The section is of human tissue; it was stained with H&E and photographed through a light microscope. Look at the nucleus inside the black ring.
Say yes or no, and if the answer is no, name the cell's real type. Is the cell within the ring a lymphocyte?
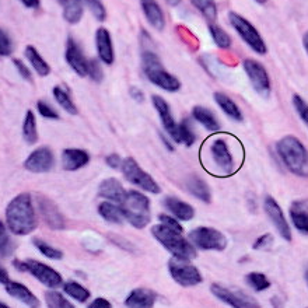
No, it is a fibroblast.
